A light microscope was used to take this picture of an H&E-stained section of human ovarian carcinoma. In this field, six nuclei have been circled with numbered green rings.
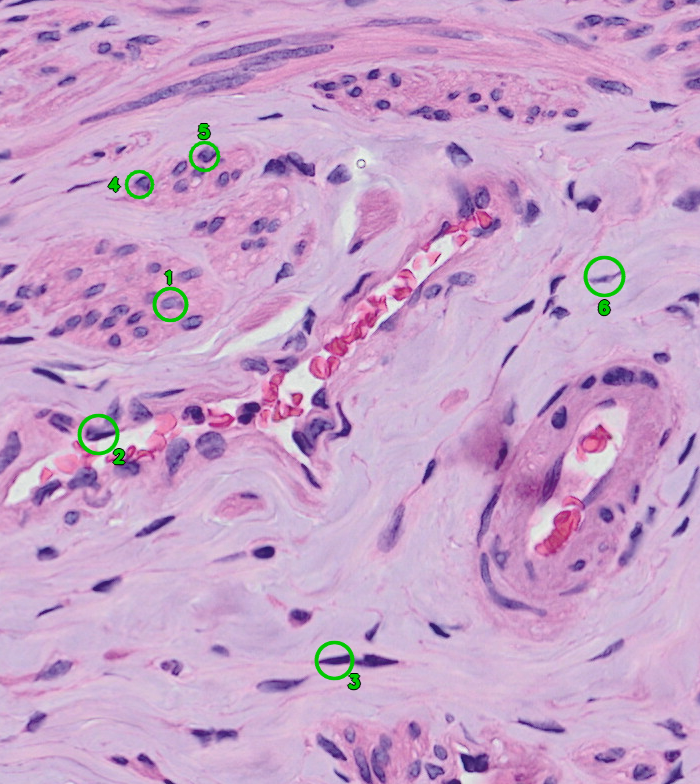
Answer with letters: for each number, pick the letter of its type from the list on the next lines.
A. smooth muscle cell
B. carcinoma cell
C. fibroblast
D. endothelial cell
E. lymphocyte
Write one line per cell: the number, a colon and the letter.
1: A
2: D
3: C
4: A
5: A
6: C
